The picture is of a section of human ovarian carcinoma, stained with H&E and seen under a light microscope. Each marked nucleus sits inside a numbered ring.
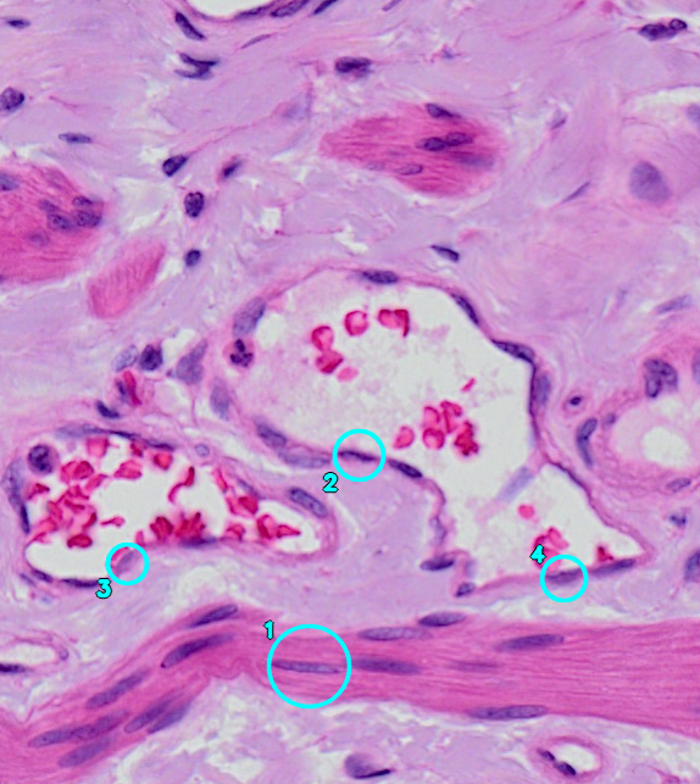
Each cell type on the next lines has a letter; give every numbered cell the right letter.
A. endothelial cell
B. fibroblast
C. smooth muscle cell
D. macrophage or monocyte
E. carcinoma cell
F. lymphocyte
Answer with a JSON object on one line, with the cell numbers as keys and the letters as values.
{"1": "C", "2": "A", "3": "A", "4": "A"}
